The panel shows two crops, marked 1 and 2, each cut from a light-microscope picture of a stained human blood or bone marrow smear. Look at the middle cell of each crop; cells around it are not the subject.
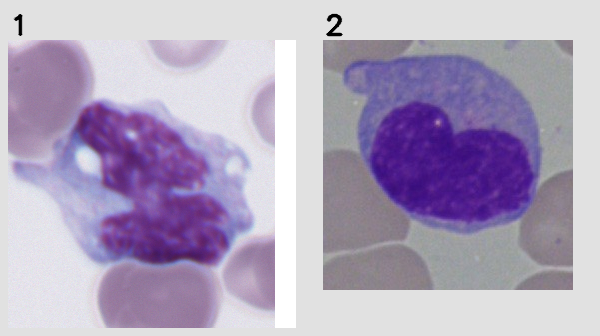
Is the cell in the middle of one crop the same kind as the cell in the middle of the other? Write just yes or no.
yes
